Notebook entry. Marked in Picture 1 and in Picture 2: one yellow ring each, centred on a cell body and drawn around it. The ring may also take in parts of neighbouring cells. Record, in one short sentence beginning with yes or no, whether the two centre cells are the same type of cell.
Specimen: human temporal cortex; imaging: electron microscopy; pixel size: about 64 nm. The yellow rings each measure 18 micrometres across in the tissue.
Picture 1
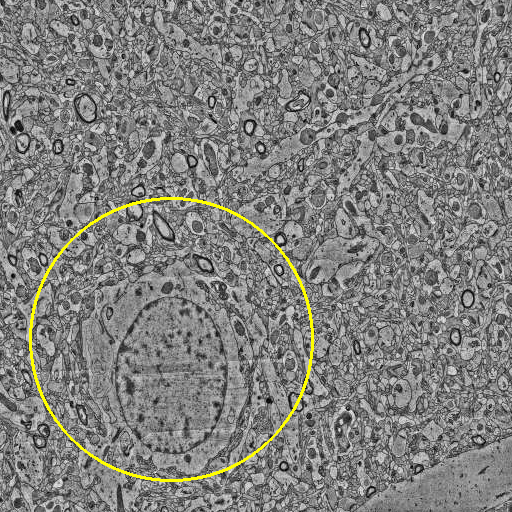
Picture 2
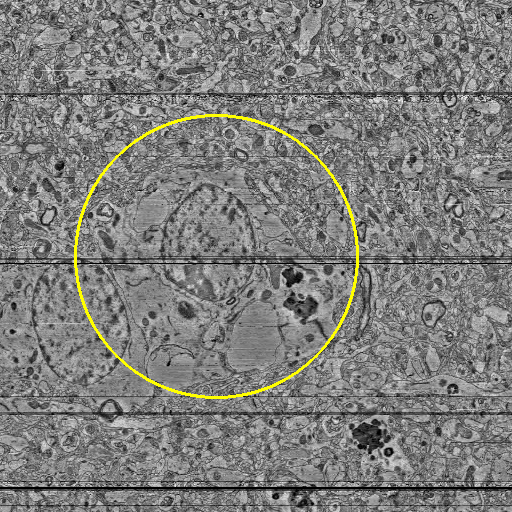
Yes, both are the same type of cell.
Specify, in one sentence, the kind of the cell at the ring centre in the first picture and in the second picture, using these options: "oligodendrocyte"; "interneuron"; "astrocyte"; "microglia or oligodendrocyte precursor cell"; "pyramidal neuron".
Both rings mark an astrocyte, one in each picture.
